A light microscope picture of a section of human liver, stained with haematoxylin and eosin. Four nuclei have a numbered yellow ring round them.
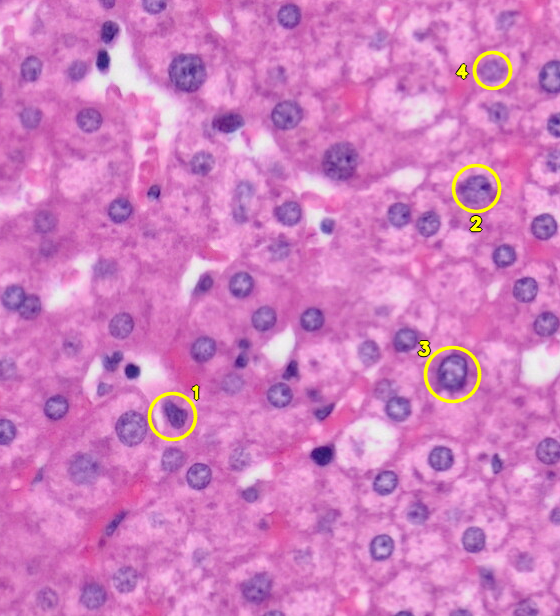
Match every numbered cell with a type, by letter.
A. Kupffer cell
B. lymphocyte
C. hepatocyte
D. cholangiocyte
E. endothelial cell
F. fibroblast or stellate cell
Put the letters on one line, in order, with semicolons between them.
A; C; C; C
